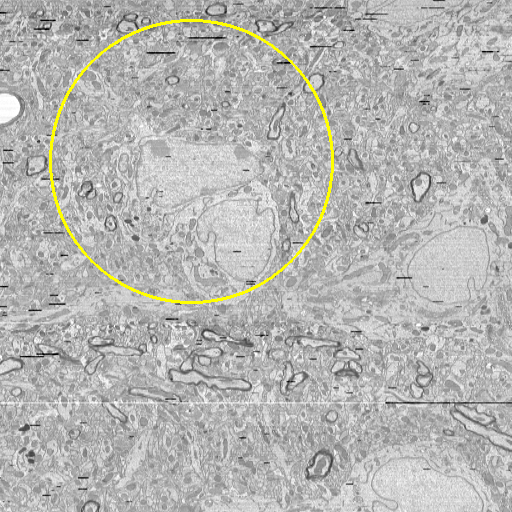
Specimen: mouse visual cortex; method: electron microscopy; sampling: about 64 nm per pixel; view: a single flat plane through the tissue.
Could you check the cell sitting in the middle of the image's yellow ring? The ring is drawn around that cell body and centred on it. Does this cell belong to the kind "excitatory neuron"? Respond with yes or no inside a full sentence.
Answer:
No, this cell in the middle of the yellow ring is one of a different kind.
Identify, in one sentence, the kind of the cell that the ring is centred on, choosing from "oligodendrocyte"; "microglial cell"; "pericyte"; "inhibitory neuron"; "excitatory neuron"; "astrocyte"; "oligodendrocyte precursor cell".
The cell at the ring centre is an oligodendrocyte precursor cell.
